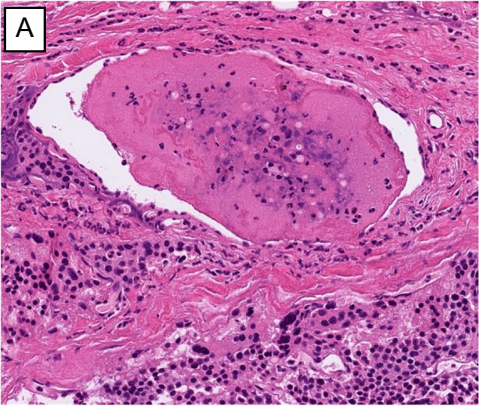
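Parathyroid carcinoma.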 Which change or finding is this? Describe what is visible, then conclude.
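An intraluminal mass with cells sits inside a vessel surrounded by a fibrous wall. Tumor cells lie in the tissue outside the vessel. The answer: vascular invasion.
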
